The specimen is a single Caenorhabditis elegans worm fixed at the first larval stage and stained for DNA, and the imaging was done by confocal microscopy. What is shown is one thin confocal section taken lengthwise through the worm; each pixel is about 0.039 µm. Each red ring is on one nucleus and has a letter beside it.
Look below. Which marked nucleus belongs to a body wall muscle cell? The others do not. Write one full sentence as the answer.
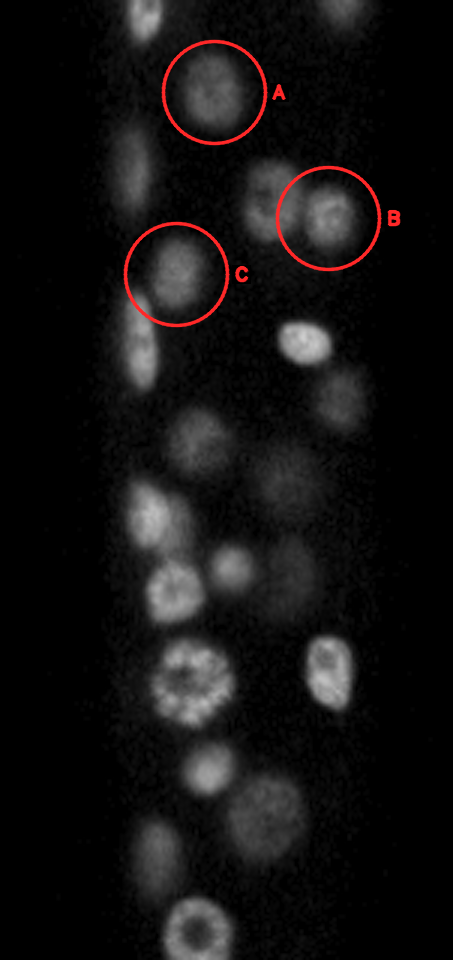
B is the nucleus of a body wall muscle cell.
